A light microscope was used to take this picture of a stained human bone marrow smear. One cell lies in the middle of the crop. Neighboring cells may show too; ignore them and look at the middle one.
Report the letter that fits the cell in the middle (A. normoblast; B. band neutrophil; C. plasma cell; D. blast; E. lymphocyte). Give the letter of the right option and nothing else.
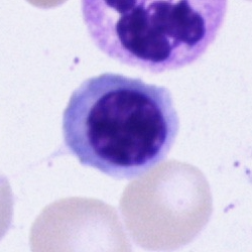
A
